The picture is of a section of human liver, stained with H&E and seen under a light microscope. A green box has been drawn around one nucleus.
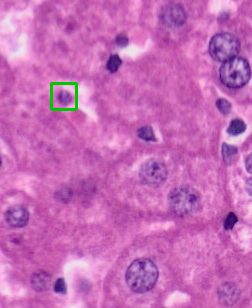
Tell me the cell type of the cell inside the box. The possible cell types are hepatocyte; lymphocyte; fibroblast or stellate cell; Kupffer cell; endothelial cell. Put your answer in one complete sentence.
Labelled by cell type, the cell inside the box is a lymphocyte.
